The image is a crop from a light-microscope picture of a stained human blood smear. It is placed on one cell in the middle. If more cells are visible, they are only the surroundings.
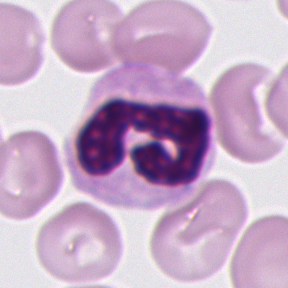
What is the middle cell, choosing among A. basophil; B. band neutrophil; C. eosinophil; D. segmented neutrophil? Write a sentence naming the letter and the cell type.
Option D is accurate; the centrally placed cell is a segmented neutrophil.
